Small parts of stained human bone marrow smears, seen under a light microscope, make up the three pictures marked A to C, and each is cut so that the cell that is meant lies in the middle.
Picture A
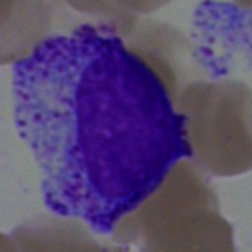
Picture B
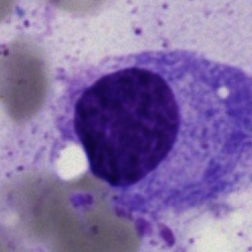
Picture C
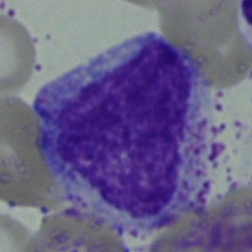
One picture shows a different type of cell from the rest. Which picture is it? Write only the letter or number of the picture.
B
